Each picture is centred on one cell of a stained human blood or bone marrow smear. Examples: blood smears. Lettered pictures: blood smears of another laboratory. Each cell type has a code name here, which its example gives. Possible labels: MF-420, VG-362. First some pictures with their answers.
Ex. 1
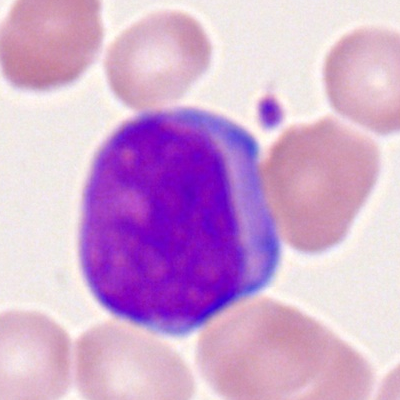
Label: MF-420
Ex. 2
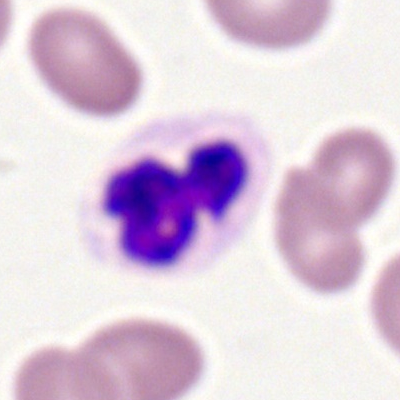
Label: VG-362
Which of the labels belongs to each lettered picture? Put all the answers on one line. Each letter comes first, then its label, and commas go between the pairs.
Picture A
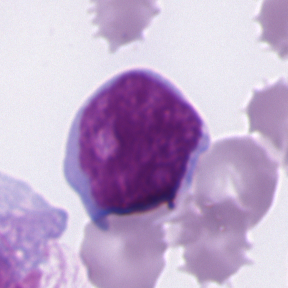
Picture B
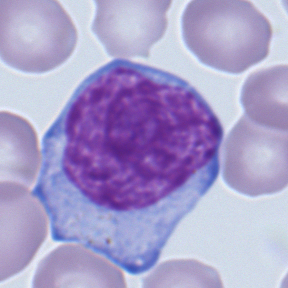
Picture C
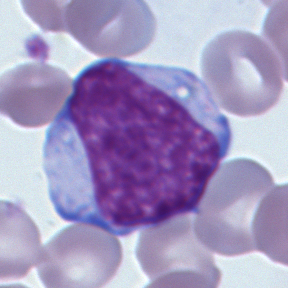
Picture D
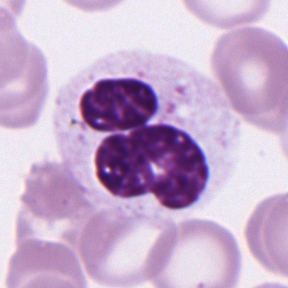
A MF-420, B MF-420, C MF-420, D VG-362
